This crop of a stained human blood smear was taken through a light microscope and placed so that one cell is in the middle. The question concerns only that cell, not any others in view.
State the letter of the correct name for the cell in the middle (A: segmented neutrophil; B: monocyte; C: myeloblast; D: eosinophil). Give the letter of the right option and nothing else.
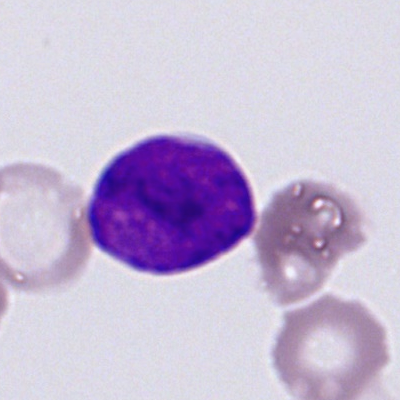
C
